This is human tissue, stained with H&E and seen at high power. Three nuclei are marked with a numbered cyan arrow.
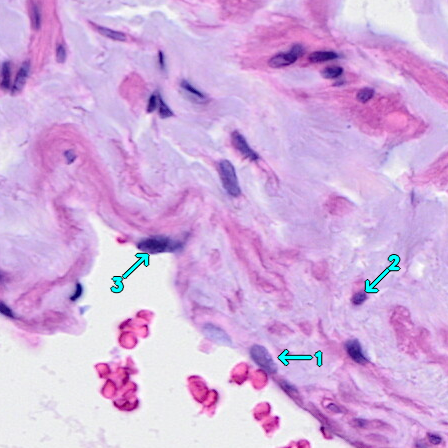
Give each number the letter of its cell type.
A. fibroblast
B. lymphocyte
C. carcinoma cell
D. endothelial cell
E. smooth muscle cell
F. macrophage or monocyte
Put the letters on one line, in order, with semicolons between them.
D; E; D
